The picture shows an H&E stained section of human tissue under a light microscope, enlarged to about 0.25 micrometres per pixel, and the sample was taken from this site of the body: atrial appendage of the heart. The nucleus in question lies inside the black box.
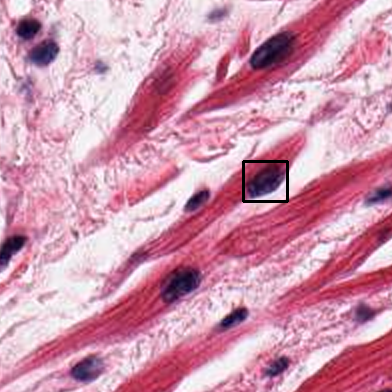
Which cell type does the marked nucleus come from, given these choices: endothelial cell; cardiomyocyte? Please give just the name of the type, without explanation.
cardiomyocyte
